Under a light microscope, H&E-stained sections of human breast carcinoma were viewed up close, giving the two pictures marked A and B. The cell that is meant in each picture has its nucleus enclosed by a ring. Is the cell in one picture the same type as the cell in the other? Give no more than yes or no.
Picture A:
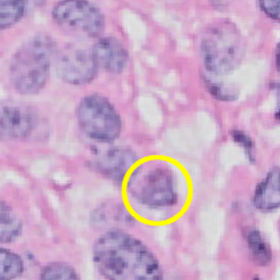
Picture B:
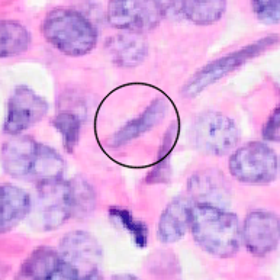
no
